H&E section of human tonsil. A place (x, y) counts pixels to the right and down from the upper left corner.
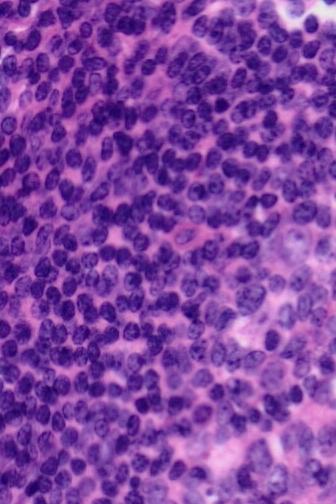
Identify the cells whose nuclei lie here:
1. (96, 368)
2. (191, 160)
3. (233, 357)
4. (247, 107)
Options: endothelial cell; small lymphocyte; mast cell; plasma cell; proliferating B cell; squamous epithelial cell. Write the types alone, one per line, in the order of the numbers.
small lymphocyte
small lymphocyte
proliferating B cell
small lymphocyte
